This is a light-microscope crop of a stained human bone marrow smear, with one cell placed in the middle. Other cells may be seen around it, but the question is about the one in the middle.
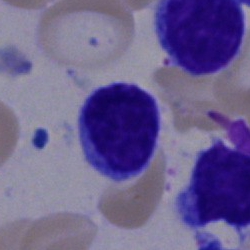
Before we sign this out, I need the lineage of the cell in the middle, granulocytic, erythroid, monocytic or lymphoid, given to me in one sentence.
The cell sitting in the middle of this crop is of the lymphoid line.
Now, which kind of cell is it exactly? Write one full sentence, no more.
For this crop, the central cell is a lymphocyte.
